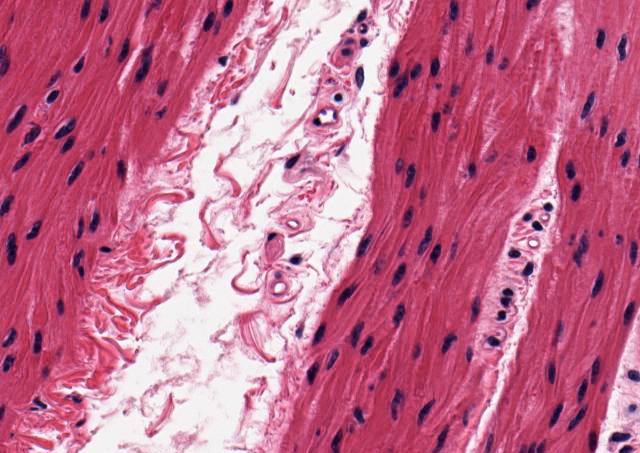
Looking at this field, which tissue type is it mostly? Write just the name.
smooth muscle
